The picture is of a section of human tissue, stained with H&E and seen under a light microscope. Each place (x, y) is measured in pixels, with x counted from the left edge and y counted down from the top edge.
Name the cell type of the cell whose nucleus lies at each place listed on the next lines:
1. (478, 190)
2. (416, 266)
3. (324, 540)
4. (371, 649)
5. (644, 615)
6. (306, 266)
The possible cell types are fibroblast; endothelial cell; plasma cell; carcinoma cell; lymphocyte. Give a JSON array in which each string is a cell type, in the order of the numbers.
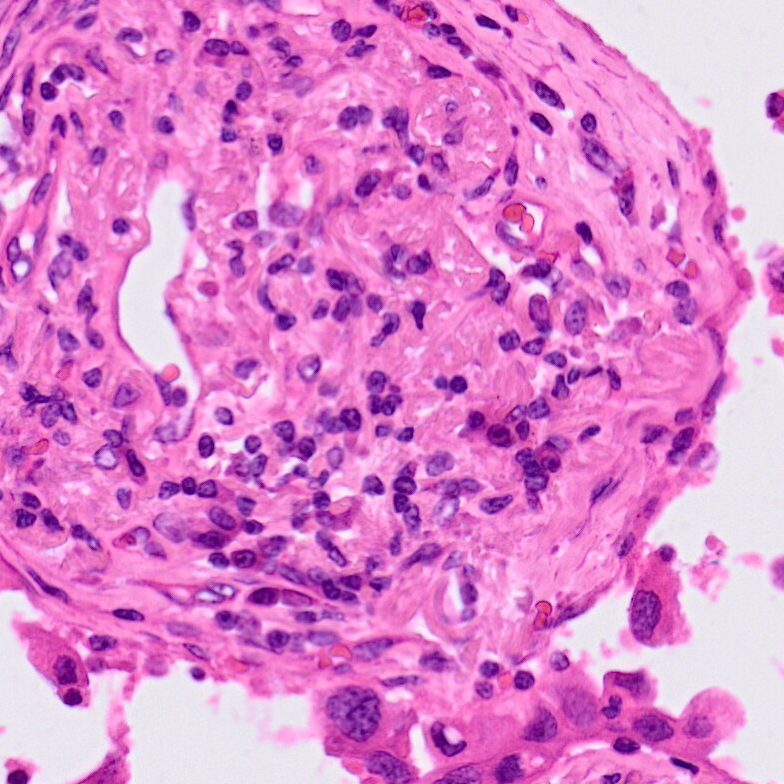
["fibroblast", "plasma cell", "lymphocyte", "endothelial cell", "carcinoma cell", "lymphocyte"]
